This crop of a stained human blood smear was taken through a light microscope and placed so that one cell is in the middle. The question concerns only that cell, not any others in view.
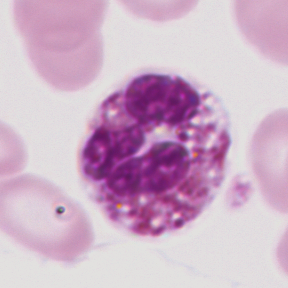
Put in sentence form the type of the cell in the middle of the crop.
By classification, the middle cell of this crop is an eosinophil.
